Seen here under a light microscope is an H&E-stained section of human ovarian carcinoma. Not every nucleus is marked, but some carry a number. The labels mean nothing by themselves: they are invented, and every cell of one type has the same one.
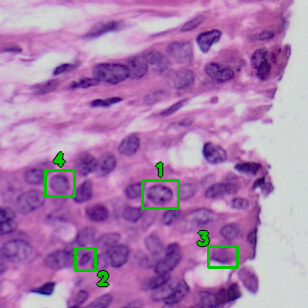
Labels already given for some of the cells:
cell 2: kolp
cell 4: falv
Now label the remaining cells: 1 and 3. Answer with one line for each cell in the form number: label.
1: falv
3: kolp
